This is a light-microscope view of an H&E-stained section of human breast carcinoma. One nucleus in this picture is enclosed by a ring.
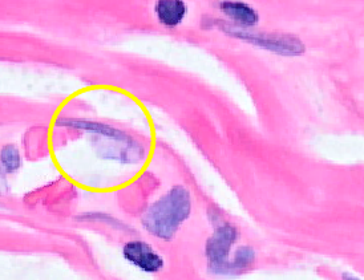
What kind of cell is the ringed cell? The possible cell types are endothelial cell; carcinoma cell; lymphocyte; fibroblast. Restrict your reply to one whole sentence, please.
The classification of the ringed cell is as an endothelial cell.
